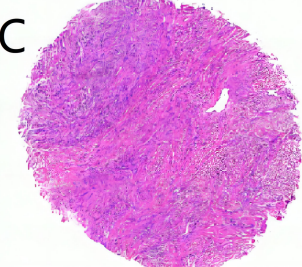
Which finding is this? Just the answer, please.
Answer: abundant collagen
